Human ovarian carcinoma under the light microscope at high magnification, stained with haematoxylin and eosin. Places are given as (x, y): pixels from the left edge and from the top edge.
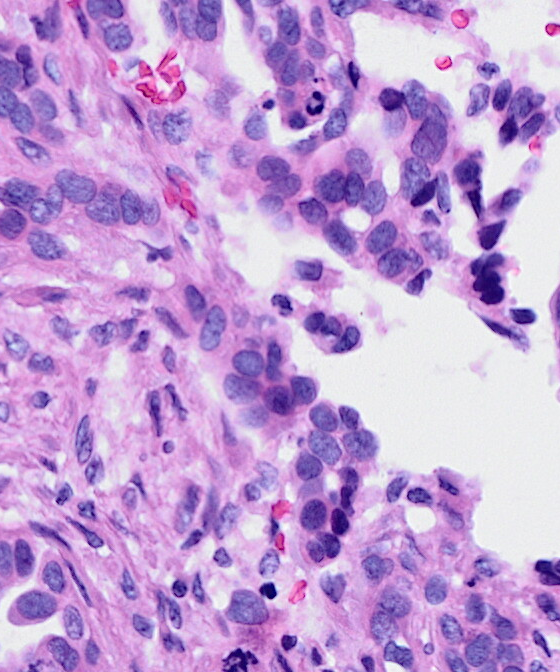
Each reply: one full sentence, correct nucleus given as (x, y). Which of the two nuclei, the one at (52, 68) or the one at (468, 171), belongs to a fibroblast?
Among the two, the nucleus at (52, 68) is the nucleus of a fibroblast.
